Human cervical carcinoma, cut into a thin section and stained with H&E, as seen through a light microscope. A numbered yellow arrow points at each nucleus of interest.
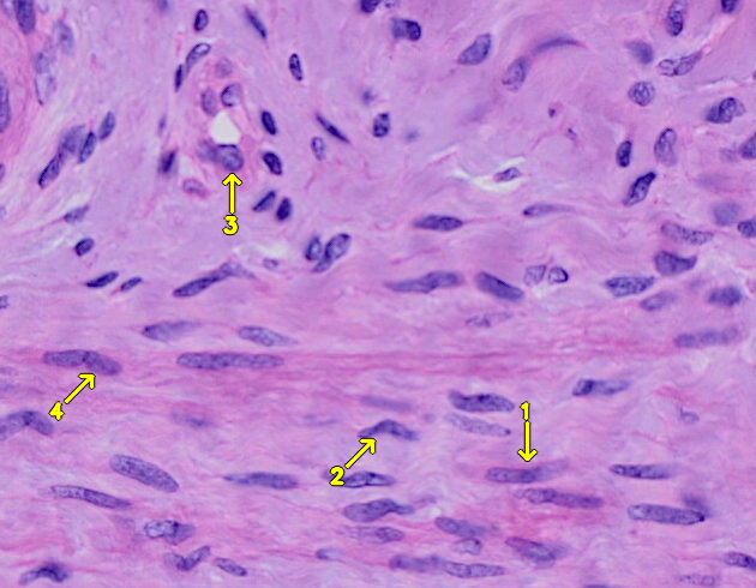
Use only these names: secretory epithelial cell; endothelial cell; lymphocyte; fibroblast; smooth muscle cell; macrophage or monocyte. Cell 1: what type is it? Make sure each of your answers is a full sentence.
At number 1, the marked cell is a smooth muscle cell.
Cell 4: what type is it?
To a smooth muscle cell belongs the nucleus marked 4.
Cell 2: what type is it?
The correct label for cell 2 is a fibroblast.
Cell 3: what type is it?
The cell numbered 3 represents an endothelial cell.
